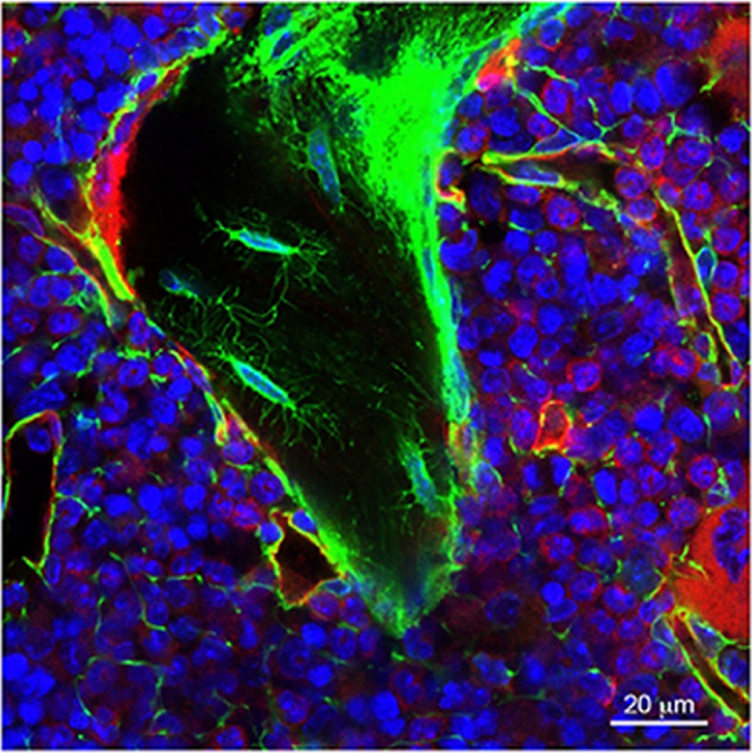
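A bone trabecula in bone marrow: its dark matrix holds a few flattened green osteocytes with fine radiating processes, and its surface is lined by green cells. Around it the marrow is packed with round hematopoietic cells whose blue nuclei are rimmed by red, while thin green stromal processes form a network among them.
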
